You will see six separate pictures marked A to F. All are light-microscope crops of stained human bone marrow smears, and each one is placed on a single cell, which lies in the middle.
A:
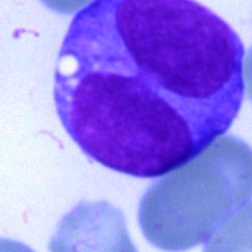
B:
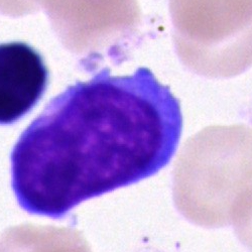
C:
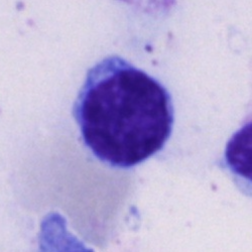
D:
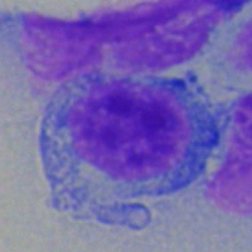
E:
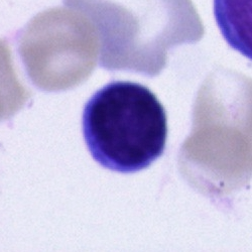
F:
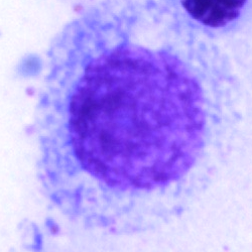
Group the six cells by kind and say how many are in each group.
lymphocyte: 3
blast: 2
promyelocyte: 1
